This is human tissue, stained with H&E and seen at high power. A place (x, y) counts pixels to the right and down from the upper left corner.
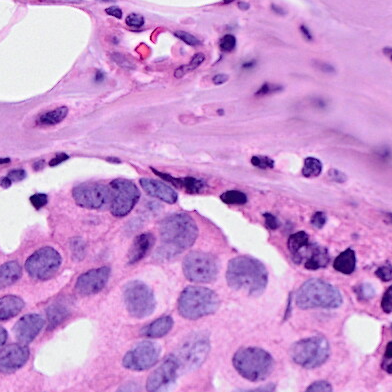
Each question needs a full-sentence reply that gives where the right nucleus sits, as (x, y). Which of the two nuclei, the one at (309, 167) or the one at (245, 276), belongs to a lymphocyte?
The member of the pair belonging to a lymphocyte is the nucleus at (309, 167).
